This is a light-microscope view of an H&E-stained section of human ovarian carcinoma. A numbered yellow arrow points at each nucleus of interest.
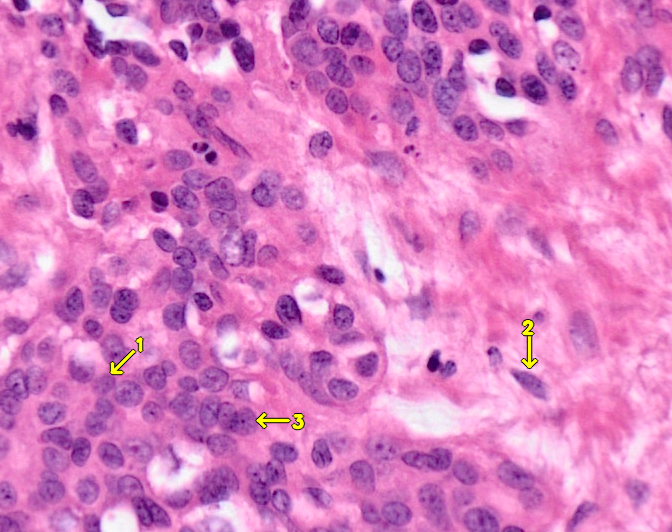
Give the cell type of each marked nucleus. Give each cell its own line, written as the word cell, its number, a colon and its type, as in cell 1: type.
cell 1: carcinoma cell
cell 2: fibroblast
cell 3: carcinoma cell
